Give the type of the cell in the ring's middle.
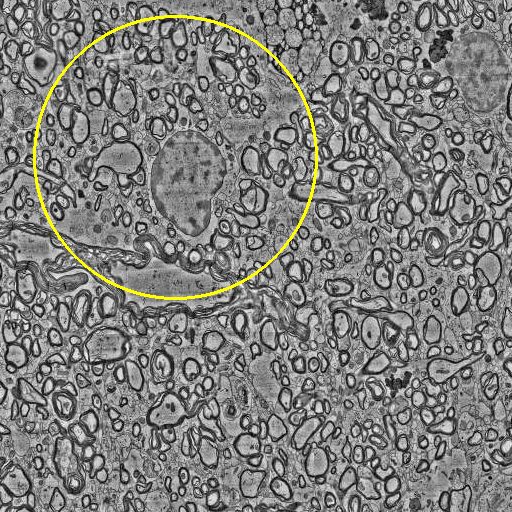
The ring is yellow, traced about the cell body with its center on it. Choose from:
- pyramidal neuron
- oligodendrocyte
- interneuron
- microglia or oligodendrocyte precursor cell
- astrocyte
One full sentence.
Here, a microglial cell or oligodendrocyte precursor cell is the cell lying at the center of the yellow ring.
